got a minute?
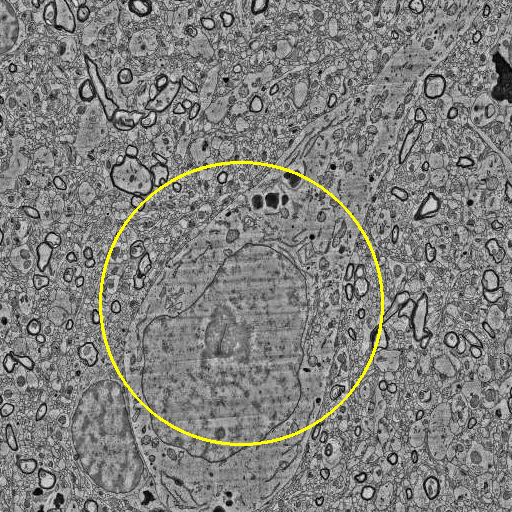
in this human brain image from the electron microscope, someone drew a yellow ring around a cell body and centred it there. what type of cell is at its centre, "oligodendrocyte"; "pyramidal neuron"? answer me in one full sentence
It's a pyramidal neuron at the middle of that yellow ring in the shot.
